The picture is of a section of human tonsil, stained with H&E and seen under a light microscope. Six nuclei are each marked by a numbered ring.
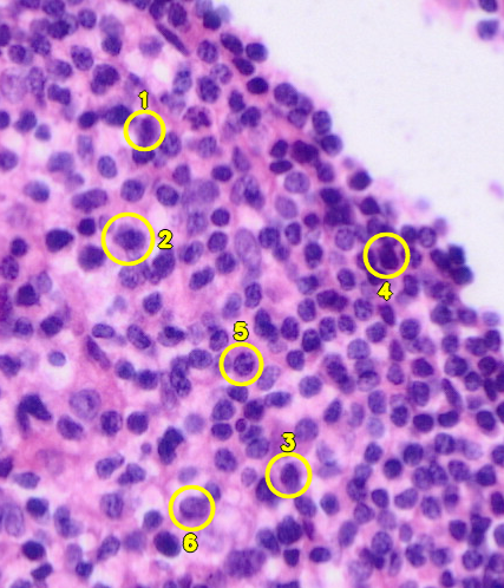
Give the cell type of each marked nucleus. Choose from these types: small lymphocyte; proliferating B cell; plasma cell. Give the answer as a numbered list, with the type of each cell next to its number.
1. proliferating B cell
2. proliferating B cell
3. proliferating B cell
4. small lymphocyte
5. plasma cell
6. proliferating B cell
